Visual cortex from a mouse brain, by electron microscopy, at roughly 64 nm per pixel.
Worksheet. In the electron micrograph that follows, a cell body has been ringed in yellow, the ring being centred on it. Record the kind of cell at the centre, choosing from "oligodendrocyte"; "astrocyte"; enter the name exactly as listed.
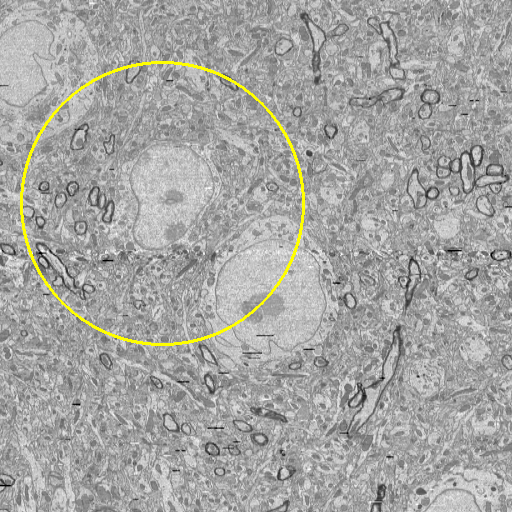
astrocyte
